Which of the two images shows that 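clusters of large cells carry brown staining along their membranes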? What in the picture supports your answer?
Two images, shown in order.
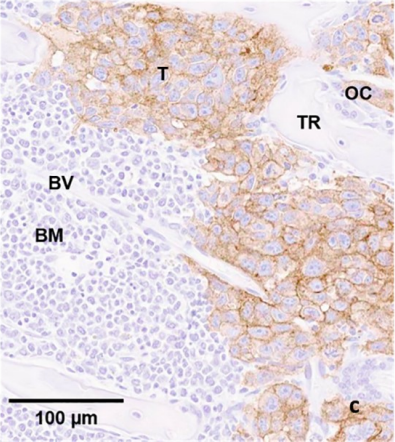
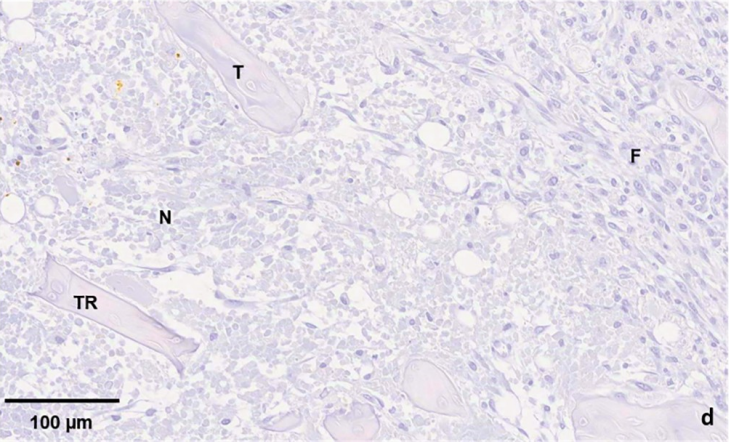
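The first image. First image: nests of large polygonal cells outlined by brown membrane staining beside a blue-stained marrow area.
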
